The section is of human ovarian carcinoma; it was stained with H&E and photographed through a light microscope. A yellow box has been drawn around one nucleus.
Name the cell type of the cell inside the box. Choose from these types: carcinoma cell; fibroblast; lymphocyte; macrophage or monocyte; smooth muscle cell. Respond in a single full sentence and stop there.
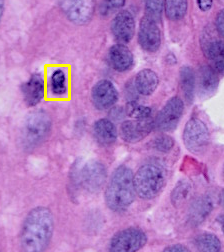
In this preparation, the cell inside the box is a lymphocyte.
